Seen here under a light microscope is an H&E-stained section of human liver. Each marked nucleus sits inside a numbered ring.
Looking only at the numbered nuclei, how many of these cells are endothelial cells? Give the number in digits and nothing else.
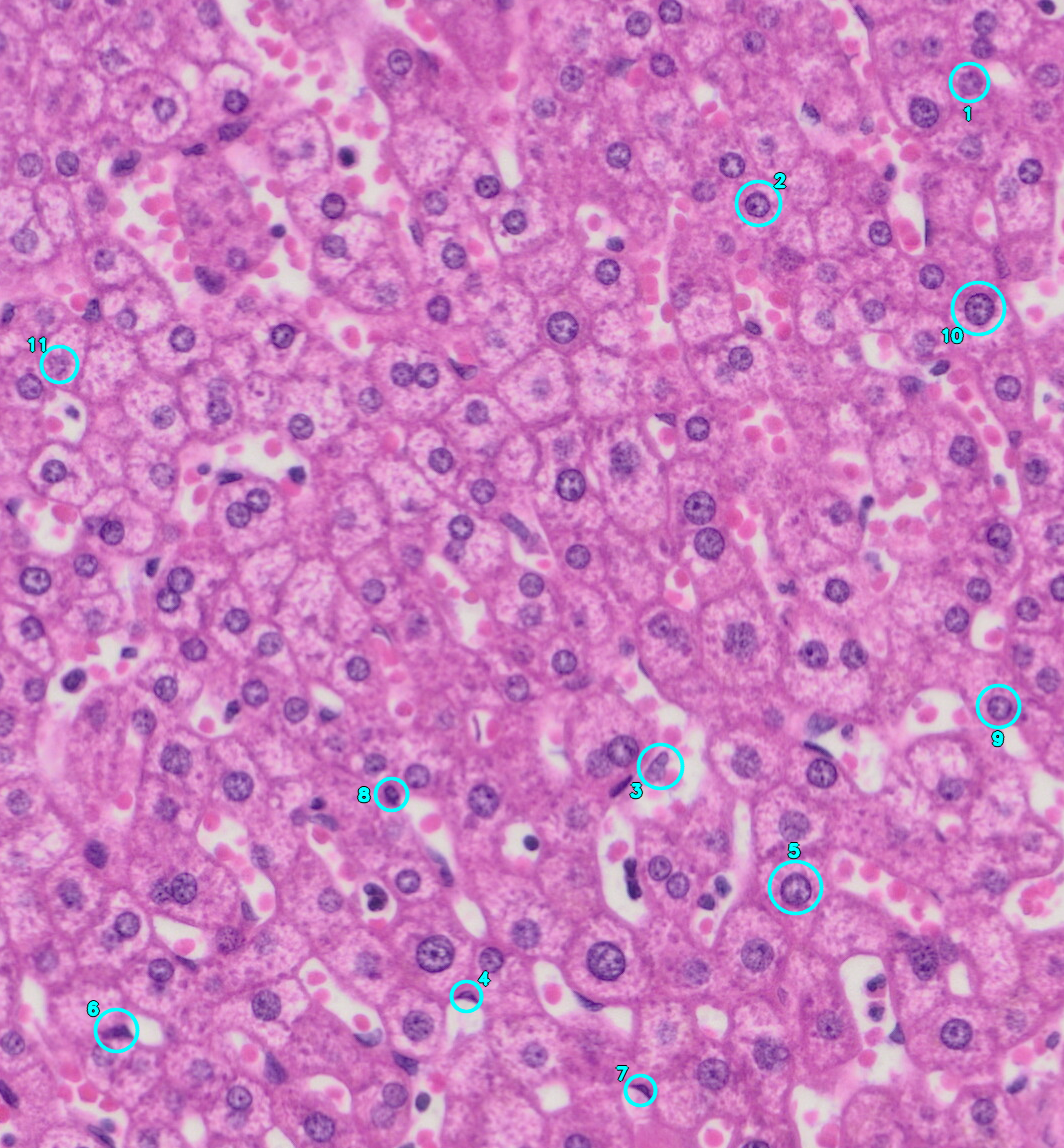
2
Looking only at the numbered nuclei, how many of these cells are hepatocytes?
6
